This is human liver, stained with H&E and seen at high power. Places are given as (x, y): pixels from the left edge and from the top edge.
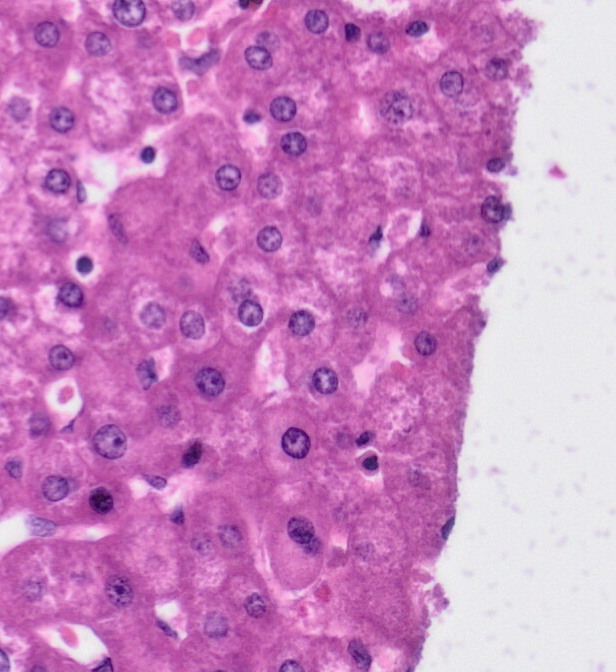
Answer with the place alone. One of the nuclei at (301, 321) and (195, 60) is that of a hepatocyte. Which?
(301, 321)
